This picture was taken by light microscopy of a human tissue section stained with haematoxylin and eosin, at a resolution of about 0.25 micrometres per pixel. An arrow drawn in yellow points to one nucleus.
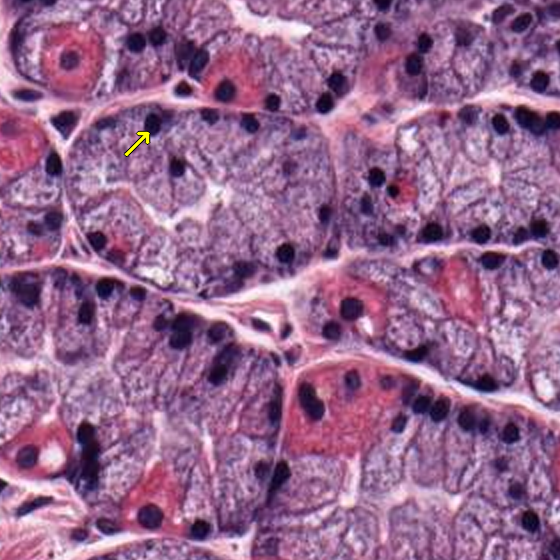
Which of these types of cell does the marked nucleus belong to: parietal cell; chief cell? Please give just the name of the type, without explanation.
chief cell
